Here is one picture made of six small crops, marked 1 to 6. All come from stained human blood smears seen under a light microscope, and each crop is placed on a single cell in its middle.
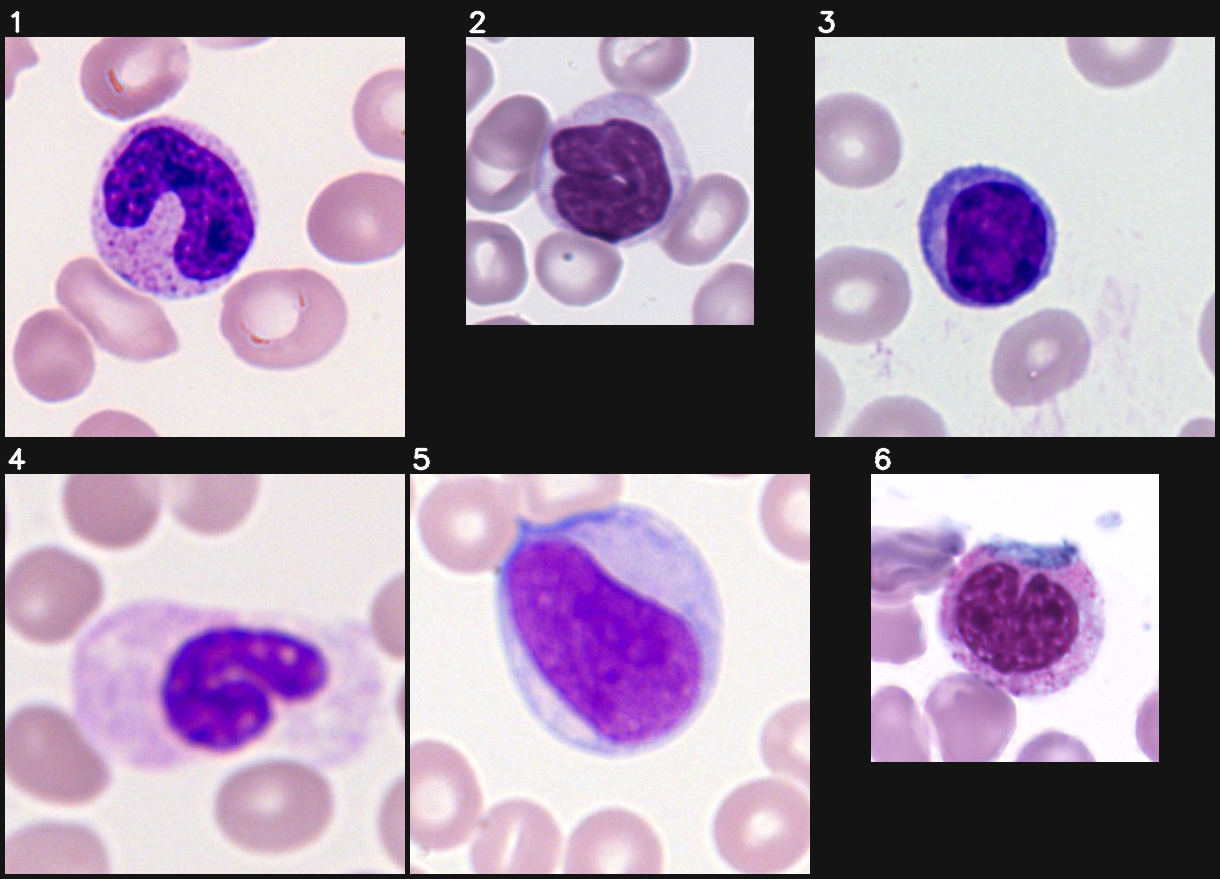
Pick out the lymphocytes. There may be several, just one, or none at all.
3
